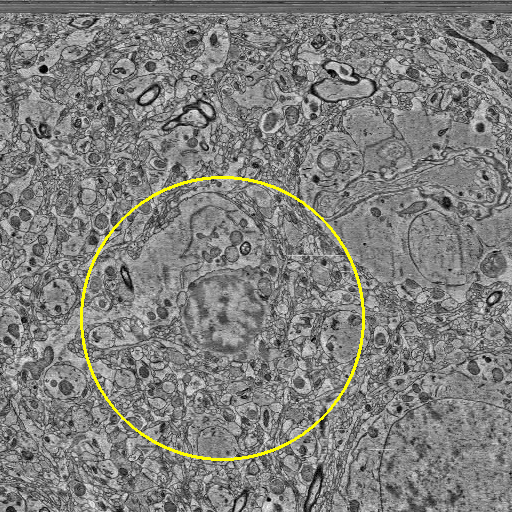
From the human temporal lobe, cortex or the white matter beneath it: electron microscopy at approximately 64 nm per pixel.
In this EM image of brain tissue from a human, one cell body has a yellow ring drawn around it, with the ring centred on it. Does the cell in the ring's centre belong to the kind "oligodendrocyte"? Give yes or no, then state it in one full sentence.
Yes, in the picture, the cell centred in the yellow ring belongs to that kind.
